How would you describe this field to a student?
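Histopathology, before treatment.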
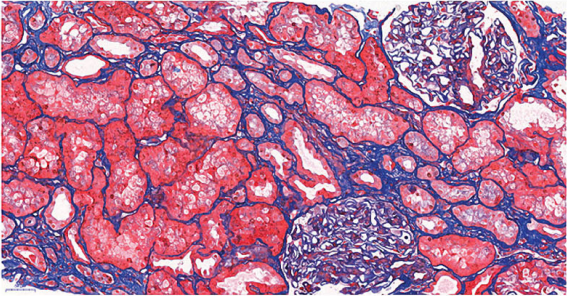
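Red tubules with pale, foamy-looking lining cells fill much of the field, some large and some small and shrunken. Between them, especially through the middle, run broad blue bands of fibrous tissue that push the tubules apart, with small dark nuclei scattered in them. Two glomeruli sit in the field, one near the top and one lower down, each a rounded tuft of capillary loops with blue-grey matrix inside a thin capsule. Small empty spaces mark tubule lumens and vessels.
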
